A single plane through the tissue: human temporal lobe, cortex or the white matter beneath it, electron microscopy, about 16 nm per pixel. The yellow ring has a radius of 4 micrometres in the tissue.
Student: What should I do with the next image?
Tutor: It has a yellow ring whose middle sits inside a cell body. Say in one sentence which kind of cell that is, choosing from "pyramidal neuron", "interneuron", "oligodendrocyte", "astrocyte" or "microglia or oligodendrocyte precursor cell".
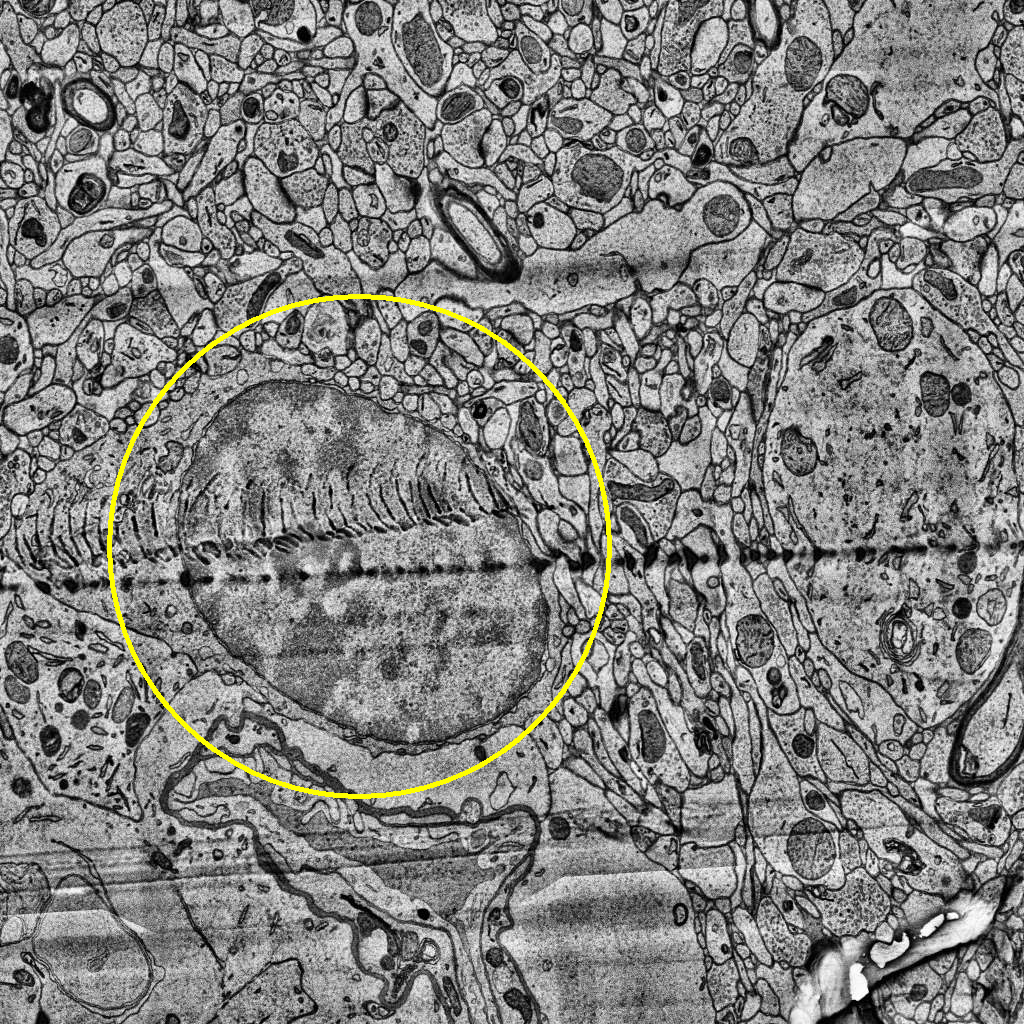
The ring's centre is occupied by an oligodendrocyte.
